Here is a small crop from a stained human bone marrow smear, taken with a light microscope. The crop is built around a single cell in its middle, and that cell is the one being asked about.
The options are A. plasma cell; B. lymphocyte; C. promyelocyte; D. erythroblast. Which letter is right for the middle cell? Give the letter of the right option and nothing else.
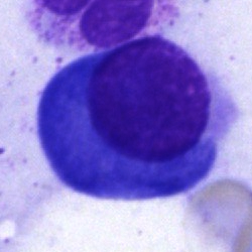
A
